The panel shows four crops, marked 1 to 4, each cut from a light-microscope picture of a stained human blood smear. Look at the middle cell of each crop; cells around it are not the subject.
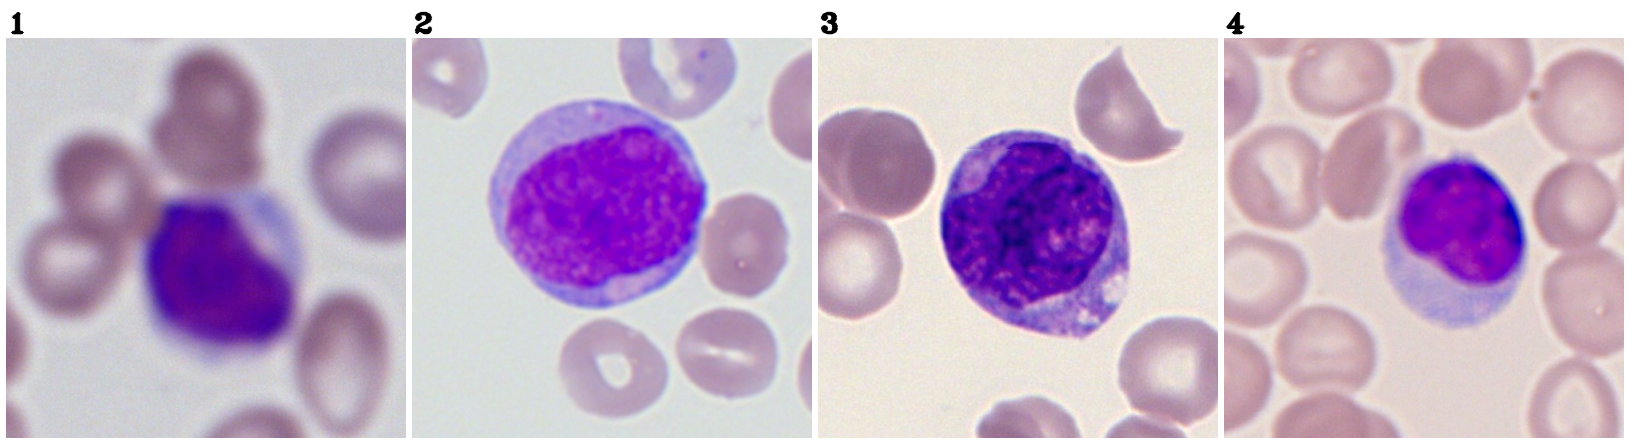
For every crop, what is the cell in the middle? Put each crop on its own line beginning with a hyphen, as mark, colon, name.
- 1: lymphocyte
- 2: myeloblast
- 3: monocyte
- 4: lymphocyte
